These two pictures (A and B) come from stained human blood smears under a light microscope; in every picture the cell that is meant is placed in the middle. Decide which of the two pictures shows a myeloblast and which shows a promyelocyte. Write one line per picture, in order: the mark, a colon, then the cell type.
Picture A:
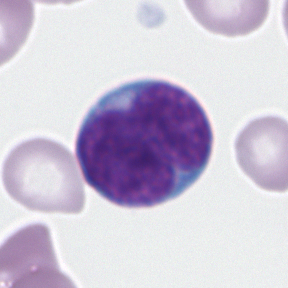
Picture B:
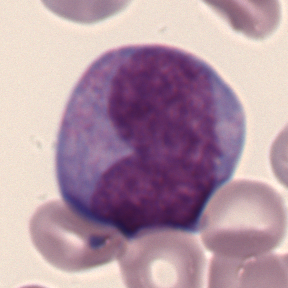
A: myeloblast
B: promyelocyte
